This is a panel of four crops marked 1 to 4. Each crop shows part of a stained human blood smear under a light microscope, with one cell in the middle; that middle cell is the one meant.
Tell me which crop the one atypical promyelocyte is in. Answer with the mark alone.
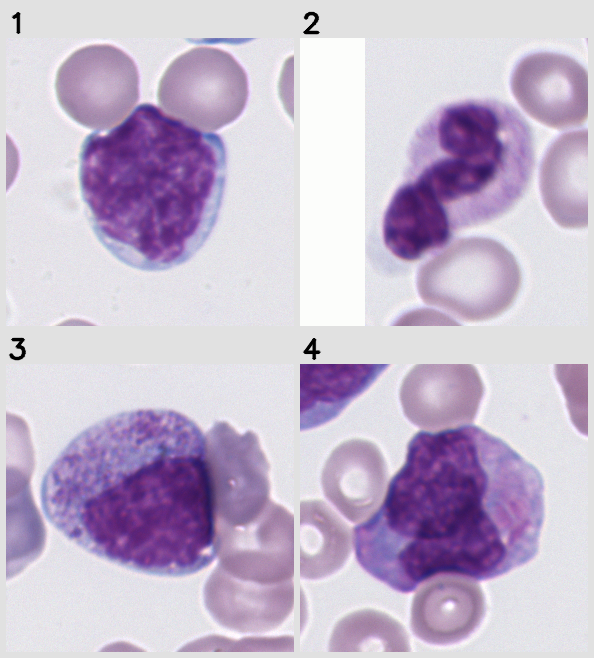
4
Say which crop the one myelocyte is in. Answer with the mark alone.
3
